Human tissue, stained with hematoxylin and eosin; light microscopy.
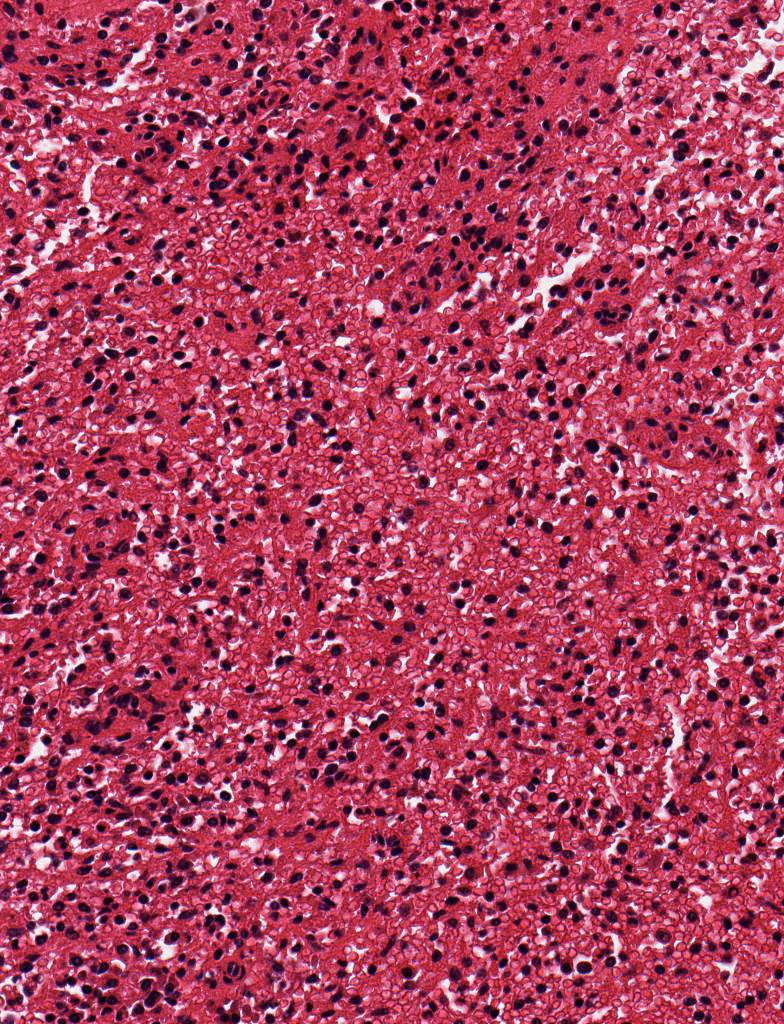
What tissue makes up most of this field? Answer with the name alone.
red pulp of the spleen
